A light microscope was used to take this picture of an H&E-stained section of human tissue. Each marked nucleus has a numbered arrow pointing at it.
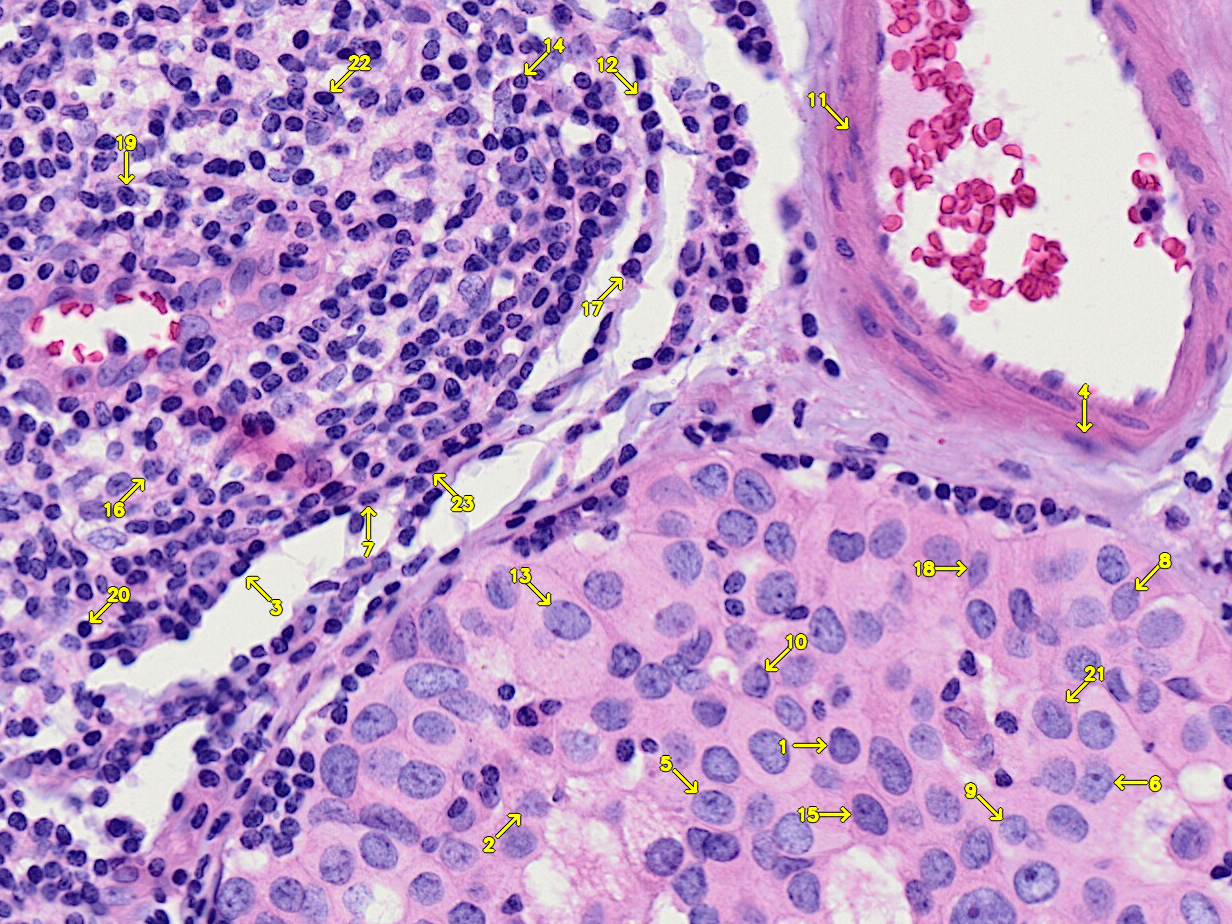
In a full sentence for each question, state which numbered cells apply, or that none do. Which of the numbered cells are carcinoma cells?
Within this tissue, the cells numbered 1, 2, 5, 6, 8, 9, 10, 13, 15, 18 and 21 are carcinoma cells.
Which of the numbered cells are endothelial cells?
Into the category of endothelial cells fall the cells numbered 4 and 11.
